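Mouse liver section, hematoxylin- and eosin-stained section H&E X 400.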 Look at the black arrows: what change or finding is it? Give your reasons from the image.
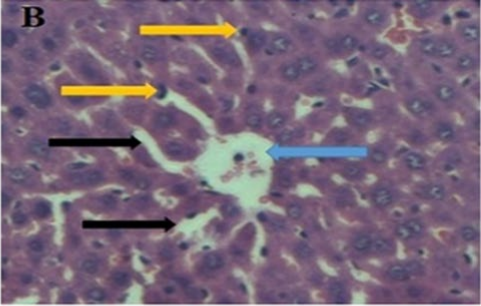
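Wide white channels radiate from a central vessel between cords of cells. The channels are much broader than thin slits. That points to this answer: sinusoidal dilatation.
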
